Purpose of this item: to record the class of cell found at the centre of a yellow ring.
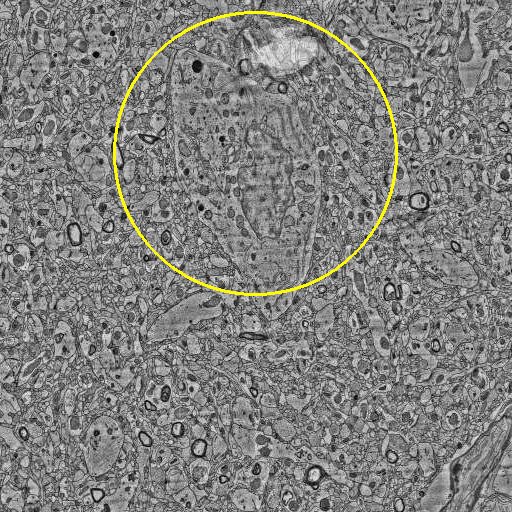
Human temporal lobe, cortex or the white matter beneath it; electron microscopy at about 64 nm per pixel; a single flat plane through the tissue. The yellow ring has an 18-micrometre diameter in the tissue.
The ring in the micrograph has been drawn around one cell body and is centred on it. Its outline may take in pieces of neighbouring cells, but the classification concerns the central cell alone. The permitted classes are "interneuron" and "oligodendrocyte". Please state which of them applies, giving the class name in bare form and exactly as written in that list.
interneuron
